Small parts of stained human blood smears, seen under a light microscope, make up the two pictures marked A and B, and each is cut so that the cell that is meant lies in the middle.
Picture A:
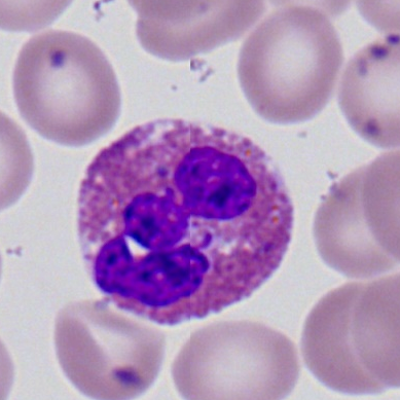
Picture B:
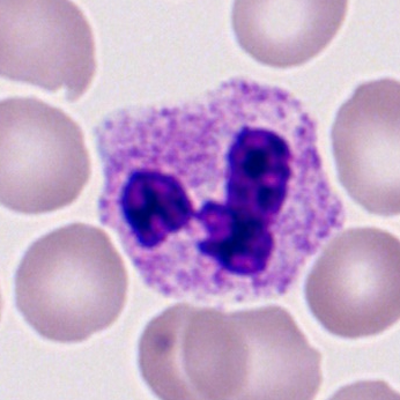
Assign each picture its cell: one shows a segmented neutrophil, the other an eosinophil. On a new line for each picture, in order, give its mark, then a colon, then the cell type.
A: eosinophil
B: segmented neutrophil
